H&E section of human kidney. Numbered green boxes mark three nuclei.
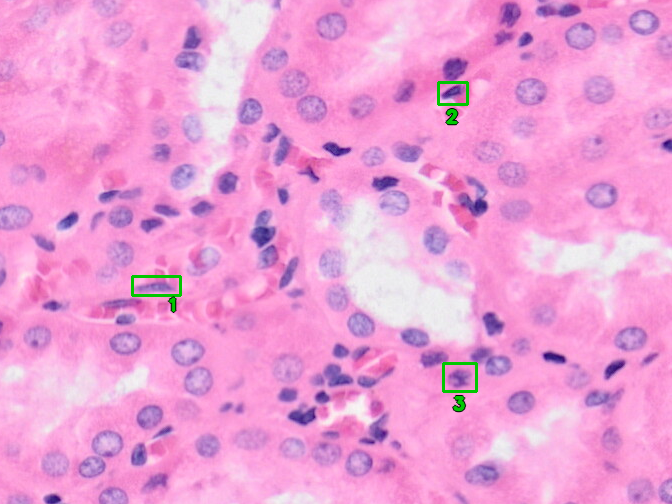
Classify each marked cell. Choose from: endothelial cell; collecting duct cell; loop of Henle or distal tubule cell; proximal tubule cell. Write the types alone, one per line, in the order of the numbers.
endothelial cell
endothelial cell
loop of Henle or distal tubule cell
